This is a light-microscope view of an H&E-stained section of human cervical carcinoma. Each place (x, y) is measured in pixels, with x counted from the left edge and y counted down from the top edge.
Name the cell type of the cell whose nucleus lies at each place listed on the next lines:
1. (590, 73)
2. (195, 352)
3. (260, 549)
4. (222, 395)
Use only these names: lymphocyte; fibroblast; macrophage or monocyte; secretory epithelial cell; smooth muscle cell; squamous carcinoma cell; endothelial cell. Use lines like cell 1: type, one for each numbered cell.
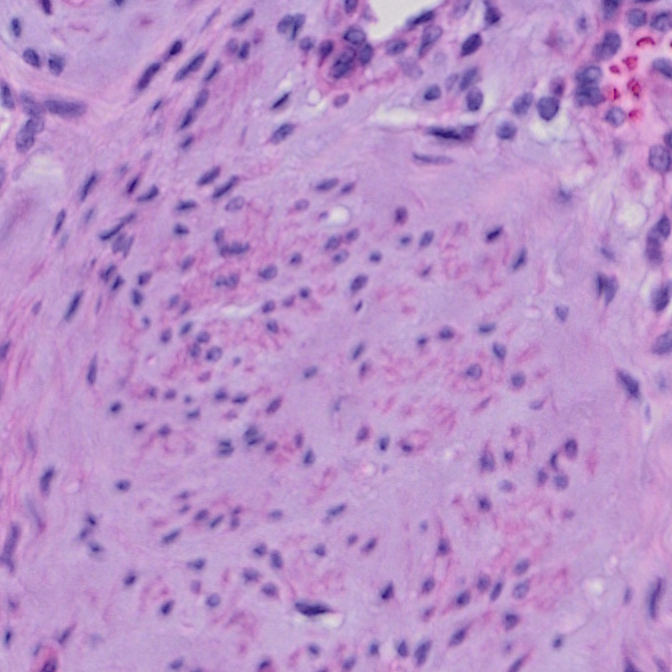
cell 1: endothelial cell
cell 2: smooth muscle cell
cell 3: smooth muscle cell
cell 4: smooth muscle cell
